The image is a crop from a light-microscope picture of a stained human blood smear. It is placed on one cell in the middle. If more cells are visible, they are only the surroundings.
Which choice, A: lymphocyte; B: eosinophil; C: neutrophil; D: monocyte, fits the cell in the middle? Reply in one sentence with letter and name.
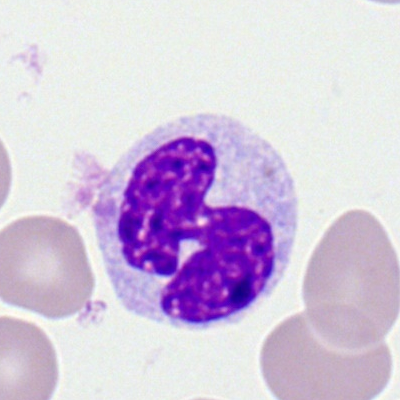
Option D is right in identifying the central cell as a monocyte.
